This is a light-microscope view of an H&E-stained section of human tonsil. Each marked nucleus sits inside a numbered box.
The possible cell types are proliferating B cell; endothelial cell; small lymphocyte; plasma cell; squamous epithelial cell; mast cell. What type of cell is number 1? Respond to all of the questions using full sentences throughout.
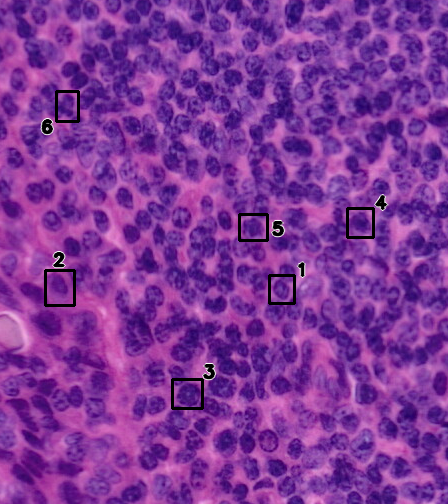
The cell pointed out by number 1 is a small lymphocyte.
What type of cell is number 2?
Cell 2, among those numbered, is a squamous epithelial cell.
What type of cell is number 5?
In this section, the cell numbered 5 is a small lymphocyte.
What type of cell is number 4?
Marked with the number 4, this cell is a small lymphocyte.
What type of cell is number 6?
That cell with number 6 is a small lymphocyte.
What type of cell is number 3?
Regarding cell 3, this one is a plasma cell.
